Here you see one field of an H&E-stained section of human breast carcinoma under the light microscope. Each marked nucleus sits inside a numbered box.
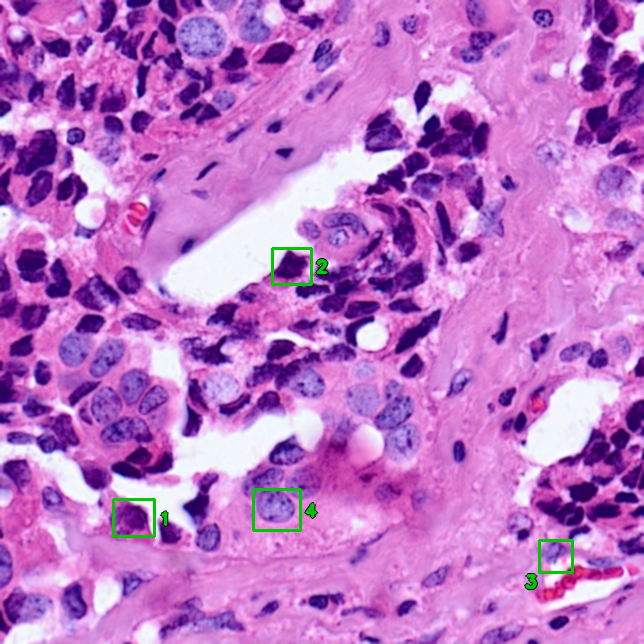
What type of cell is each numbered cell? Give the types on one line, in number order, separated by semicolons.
carcinoma cell; carcinoma cell; endothelial cell; carcinoma cell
